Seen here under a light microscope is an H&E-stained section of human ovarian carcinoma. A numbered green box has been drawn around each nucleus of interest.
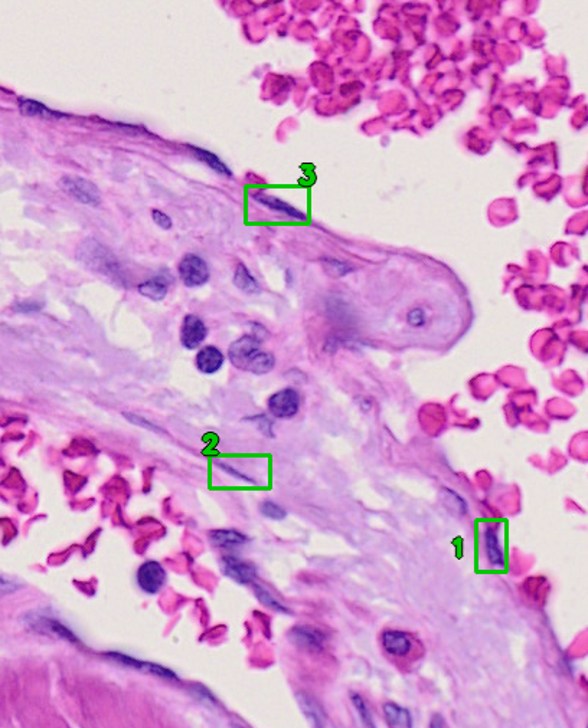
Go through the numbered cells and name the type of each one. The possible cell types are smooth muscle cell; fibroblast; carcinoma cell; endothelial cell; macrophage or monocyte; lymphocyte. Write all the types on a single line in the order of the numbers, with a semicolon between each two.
endothelial cell; fibroblast; endothelial cell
